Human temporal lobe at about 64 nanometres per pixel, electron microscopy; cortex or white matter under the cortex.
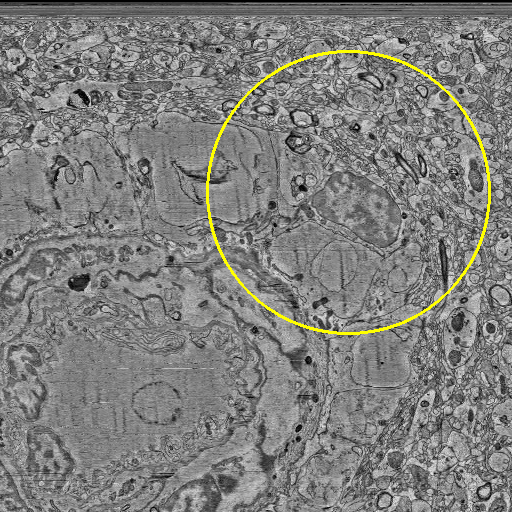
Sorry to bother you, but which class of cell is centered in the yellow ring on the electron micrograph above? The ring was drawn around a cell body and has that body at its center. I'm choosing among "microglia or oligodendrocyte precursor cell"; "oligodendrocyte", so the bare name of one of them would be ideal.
microglia or oligodendrocyte precursor cell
